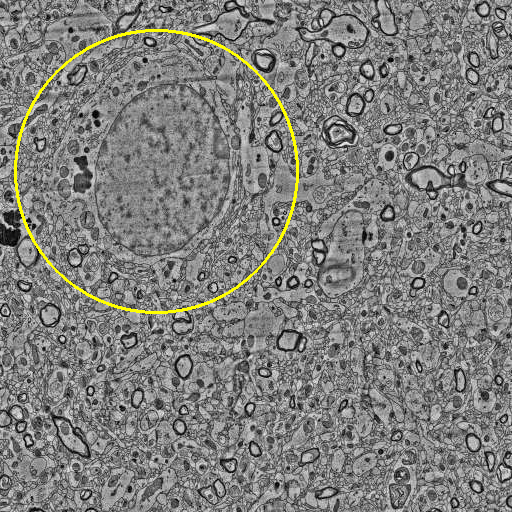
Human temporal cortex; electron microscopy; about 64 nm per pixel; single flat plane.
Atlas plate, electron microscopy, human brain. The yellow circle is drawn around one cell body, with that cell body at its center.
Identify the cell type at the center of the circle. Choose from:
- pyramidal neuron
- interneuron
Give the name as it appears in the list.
interneuron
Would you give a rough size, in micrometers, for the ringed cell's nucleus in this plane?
Approximately 11 by 8 micrometers in this plane.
